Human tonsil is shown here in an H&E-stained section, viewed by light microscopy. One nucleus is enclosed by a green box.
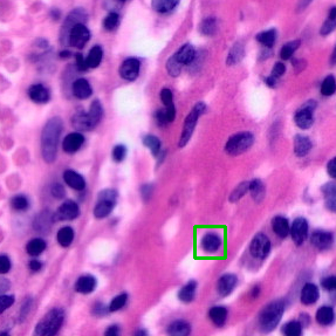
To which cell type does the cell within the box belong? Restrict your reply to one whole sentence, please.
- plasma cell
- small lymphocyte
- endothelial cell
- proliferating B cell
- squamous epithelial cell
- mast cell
As a matter of cell type, the cell within the box is a mast cell.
